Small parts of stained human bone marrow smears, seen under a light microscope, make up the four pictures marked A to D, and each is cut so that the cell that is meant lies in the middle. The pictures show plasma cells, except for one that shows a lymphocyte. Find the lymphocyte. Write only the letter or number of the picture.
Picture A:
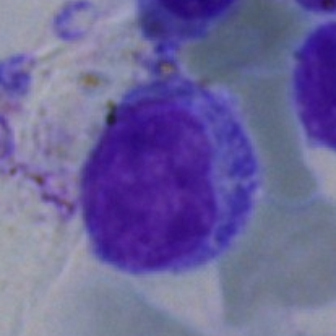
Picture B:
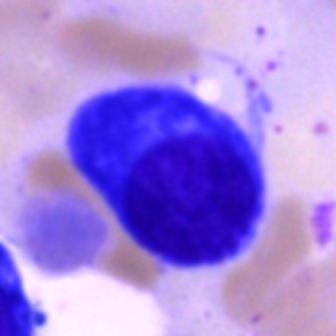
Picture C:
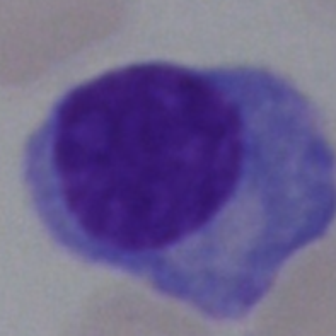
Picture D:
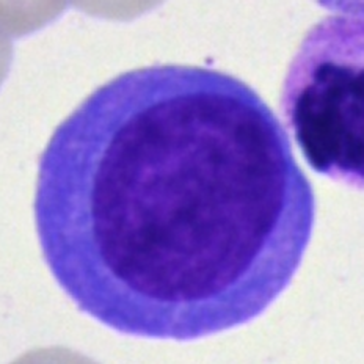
A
